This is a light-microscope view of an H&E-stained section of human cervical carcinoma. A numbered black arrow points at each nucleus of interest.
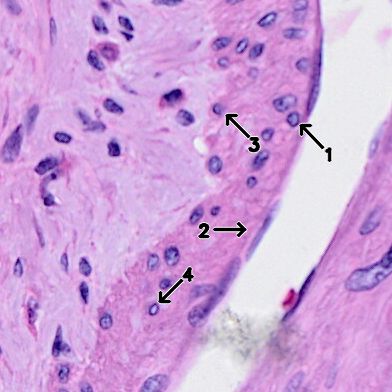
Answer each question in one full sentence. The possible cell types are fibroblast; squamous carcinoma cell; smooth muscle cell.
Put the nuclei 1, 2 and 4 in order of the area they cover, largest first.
By area, largest first, they run 2, 1, 4.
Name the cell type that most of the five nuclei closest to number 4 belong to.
Of the five nuclei nearest to number 4, most belong to smooth muscle cells.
